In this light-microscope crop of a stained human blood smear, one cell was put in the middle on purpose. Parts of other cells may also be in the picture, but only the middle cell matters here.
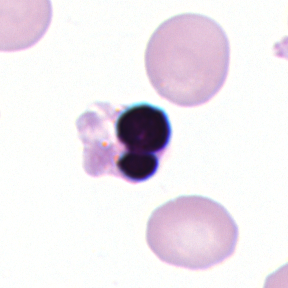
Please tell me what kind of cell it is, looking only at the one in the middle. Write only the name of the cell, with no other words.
normoblast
